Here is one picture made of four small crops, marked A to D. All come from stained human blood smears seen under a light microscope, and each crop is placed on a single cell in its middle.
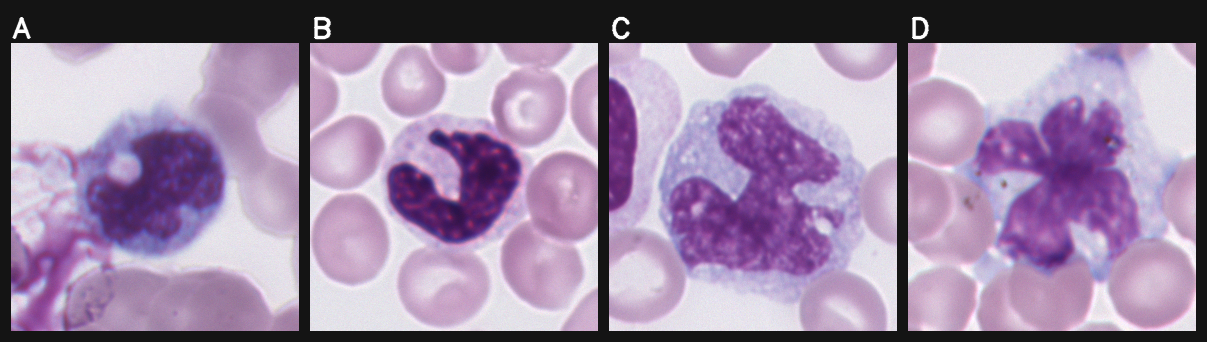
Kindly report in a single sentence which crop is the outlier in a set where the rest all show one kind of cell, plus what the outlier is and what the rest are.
Crop B shows a band neutrophil, while all of the others show monocytes.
